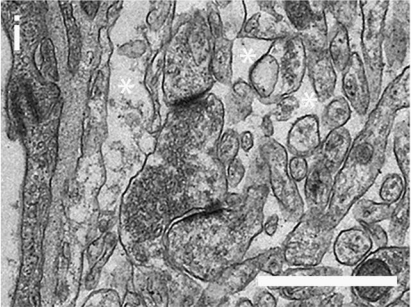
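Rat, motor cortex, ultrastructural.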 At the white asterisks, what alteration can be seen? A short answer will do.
Empty spaces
